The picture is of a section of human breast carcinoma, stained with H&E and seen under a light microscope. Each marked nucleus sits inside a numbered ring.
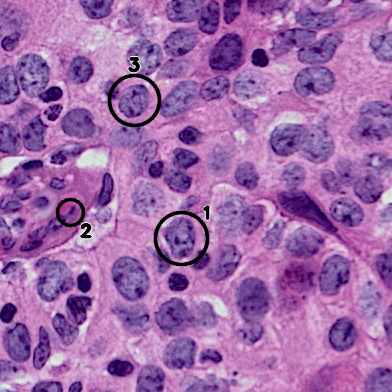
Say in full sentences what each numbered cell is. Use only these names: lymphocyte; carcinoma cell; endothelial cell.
Cells 1 and 3 are carcinoma cells. Cell 2 is an endothelial cell.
